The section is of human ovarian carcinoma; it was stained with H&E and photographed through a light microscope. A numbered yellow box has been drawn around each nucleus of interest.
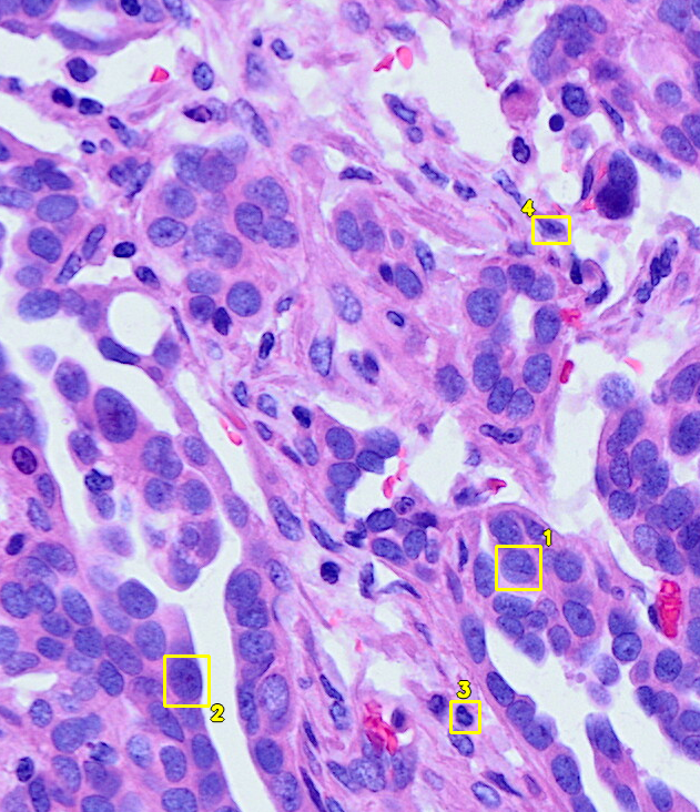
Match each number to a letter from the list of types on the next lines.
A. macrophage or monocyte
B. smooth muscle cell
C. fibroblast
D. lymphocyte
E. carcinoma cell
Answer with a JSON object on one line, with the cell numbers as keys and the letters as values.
{"1": "E", "2": "E", "3": "D", "4": "C"}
